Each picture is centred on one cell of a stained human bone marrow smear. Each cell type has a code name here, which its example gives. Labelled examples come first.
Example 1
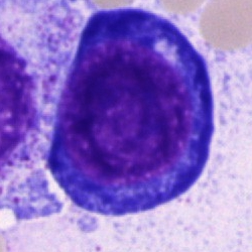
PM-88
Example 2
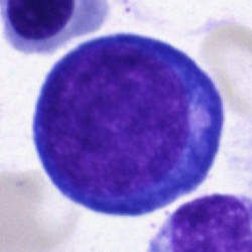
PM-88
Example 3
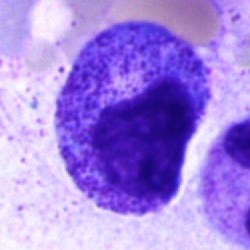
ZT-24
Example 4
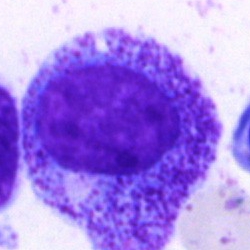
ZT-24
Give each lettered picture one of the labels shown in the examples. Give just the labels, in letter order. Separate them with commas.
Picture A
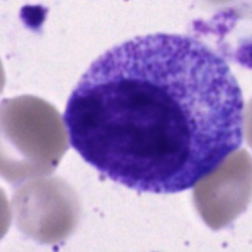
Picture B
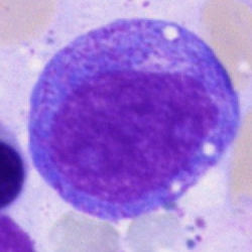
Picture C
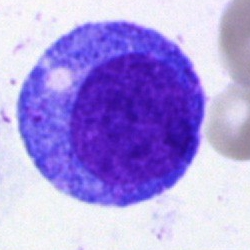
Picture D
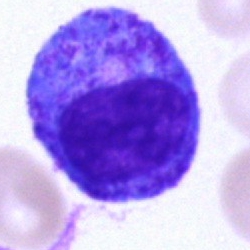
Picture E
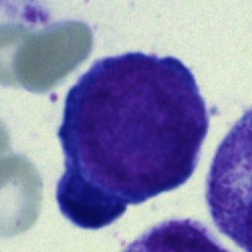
ZT-24, ZT-24, ZT-24, ZT-24, PM-88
